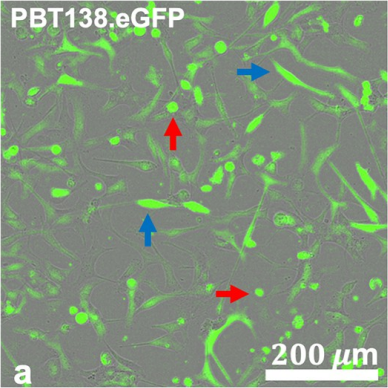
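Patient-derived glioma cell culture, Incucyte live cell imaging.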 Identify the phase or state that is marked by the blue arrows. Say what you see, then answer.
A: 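The cells at the blue arrows are spindle-shaped and drawn out. Their green bodies taper into long thin extensions at both ends. On this evidence: elongated.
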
